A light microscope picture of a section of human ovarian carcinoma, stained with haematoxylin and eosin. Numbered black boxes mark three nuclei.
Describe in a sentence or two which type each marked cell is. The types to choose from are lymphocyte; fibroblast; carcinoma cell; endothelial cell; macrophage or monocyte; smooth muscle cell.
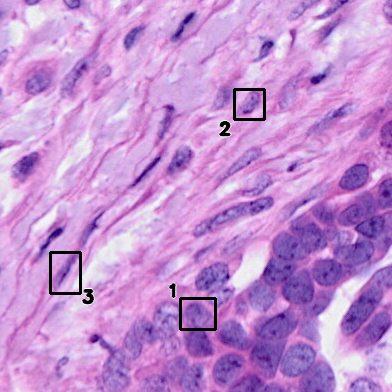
Cell 1 is a carcinoma cell, cell 2 is a fibroblast and cell 3 is a fibroblast.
